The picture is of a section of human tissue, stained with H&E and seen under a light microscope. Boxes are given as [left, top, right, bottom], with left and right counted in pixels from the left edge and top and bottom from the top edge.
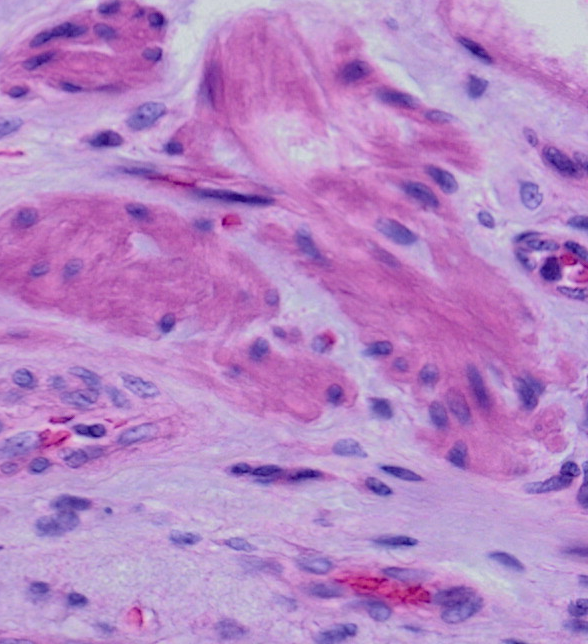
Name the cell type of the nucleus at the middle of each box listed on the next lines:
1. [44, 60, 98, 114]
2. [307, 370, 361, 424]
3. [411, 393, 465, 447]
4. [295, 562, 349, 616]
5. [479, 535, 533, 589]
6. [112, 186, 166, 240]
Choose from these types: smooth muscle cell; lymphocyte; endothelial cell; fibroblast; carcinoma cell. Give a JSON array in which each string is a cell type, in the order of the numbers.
["smooth muscle cell", "smooth muscle cell", "smooth muscle cell", "endothelial cell", "fibroblast", "smooth muscle cell"]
